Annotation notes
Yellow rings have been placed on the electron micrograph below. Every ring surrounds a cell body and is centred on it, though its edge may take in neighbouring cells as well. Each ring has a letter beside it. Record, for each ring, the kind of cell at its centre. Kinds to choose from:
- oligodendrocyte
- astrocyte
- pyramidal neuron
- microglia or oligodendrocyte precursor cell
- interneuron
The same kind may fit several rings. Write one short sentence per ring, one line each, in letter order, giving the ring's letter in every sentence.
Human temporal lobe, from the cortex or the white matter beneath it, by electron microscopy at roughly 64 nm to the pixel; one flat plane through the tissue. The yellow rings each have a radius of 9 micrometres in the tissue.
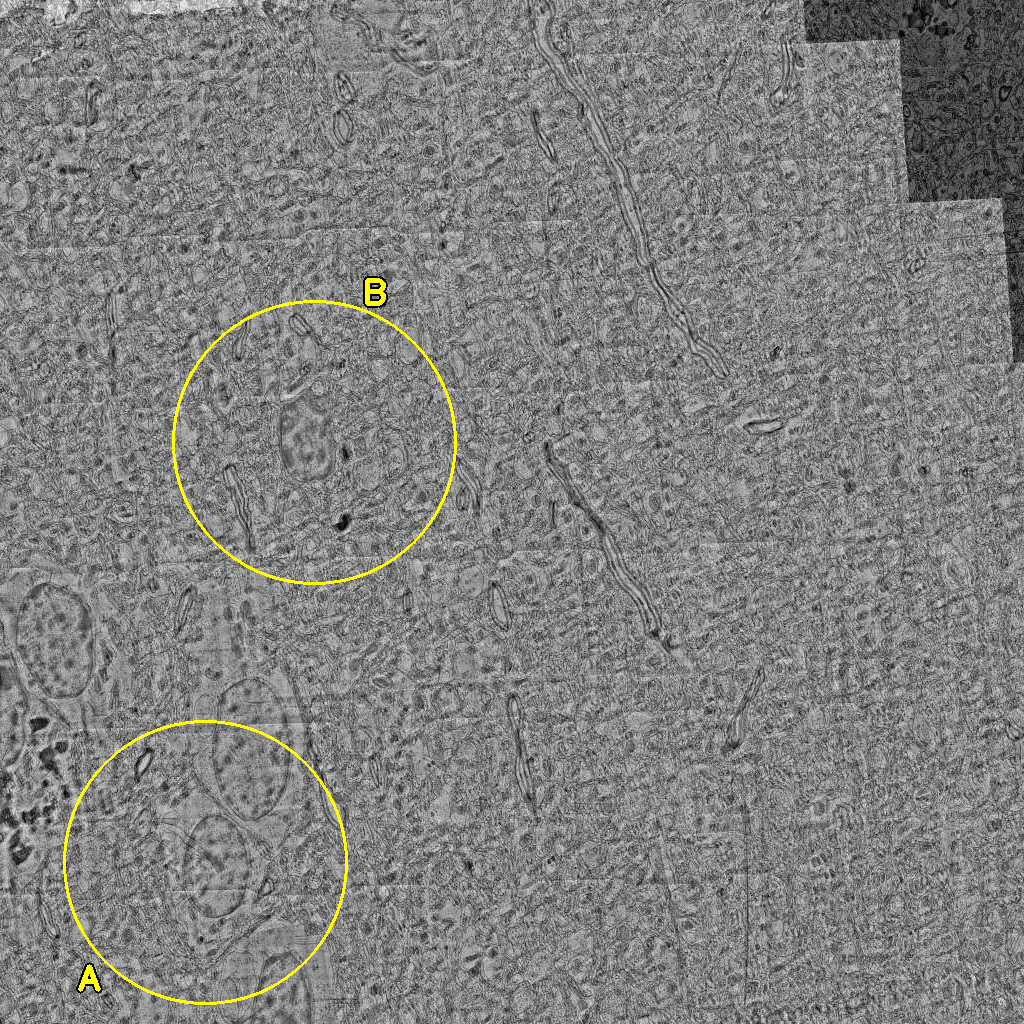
Ring A surrounds an astrocyte.
Ring B surrounds an oligodendrocyte.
